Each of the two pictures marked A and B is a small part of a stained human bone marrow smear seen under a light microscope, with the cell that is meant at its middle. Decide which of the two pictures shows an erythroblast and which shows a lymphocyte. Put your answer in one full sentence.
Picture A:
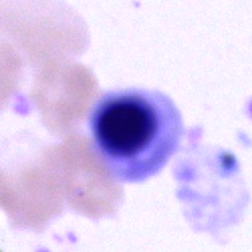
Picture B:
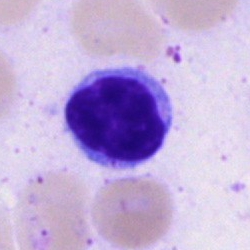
Picture B shows a lymphocyte, while picture A shows an erythroblast.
